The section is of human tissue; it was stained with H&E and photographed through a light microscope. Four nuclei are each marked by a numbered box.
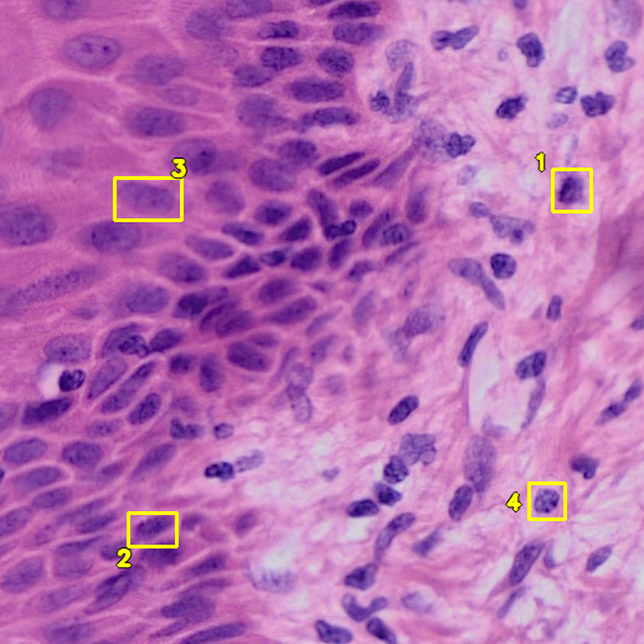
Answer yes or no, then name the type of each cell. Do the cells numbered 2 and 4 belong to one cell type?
No, cell 2 is a keratinocyte and cell 4 is a lymphocyte.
